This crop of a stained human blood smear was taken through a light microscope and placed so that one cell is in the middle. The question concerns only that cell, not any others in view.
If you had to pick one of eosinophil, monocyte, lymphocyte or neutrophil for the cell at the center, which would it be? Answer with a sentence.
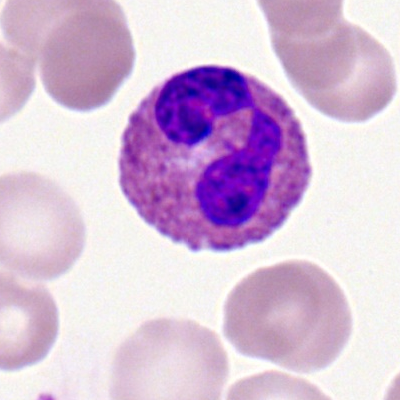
Here the centrally located cell is an eosinophil.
